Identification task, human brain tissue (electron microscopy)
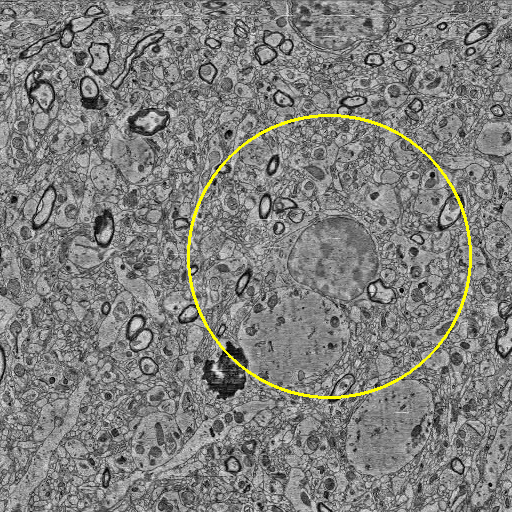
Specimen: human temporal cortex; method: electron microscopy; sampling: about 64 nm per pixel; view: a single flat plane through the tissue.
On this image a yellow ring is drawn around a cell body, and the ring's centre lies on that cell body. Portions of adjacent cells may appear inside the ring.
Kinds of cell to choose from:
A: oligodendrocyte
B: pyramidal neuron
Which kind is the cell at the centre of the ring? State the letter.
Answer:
A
